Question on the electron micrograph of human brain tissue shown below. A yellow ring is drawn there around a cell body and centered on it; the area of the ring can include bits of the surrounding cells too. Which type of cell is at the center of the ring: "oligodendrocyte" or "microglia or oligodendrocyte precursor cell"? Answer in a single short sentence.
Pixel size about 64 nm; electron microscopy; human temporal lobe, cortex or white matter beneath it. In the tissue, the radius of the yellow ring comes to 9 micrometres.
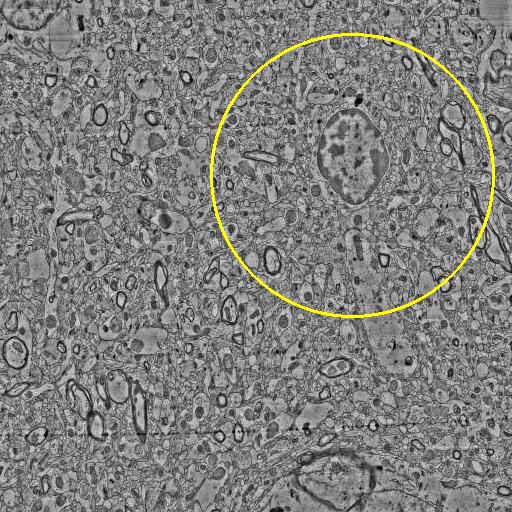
The ring is centered on a microglial cell or oligodendrocyte precursor cell.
